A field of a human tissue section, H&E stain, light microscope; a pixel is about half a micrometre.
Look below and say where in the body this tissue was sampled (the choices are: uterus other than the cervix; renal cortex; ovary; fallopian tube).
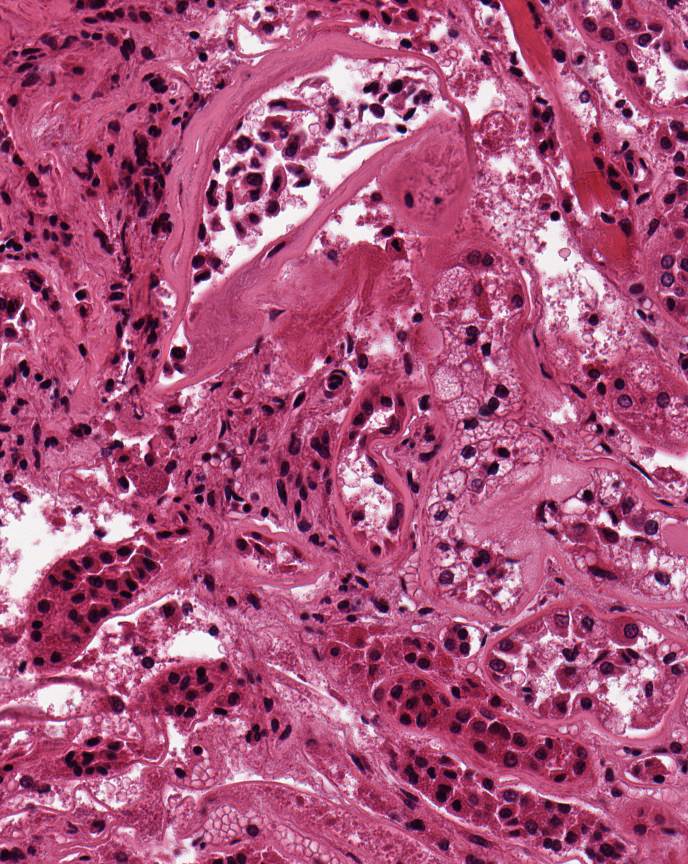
renal cortex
